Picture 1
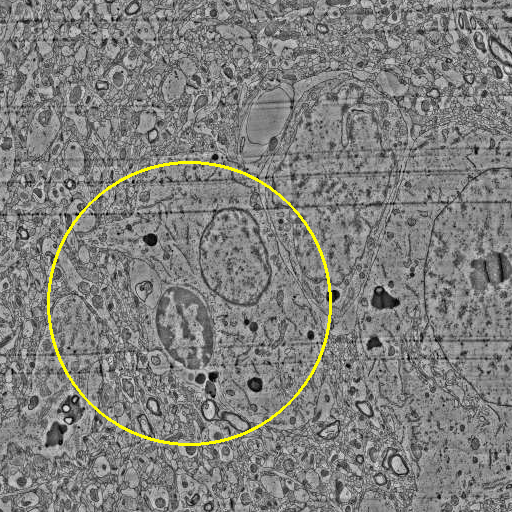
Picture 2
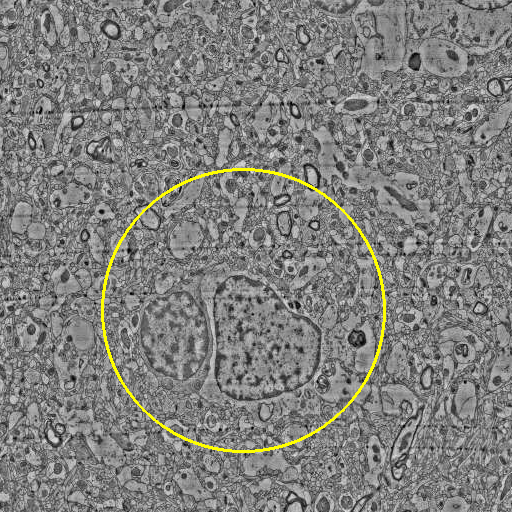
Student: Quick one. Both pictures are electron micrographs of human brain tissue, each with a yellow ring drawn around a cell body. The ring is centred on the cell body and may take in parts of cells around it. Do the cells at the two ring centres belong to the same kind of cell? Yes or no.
yes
